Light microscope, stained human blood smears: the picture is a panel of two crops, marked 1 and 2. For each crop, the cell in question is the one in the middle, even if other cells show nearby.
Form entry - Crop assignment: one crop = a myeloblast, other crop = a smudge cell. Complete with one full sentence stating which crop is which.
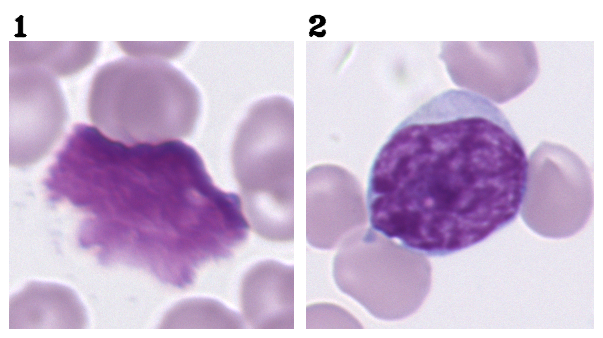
Among the crops, crop 1 is a smudge cell and crop 2 is a myeloblast.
